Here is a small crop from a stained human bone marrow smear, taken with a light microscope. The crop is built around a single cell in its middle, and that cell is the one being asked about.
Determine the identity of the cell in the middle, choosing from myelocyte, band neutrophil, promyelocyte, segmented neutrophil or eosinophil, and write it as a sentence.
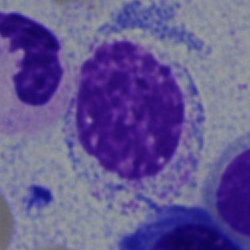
At the crop's centre, the cell is a myelocyte.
